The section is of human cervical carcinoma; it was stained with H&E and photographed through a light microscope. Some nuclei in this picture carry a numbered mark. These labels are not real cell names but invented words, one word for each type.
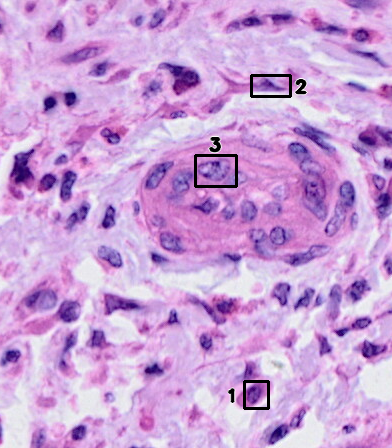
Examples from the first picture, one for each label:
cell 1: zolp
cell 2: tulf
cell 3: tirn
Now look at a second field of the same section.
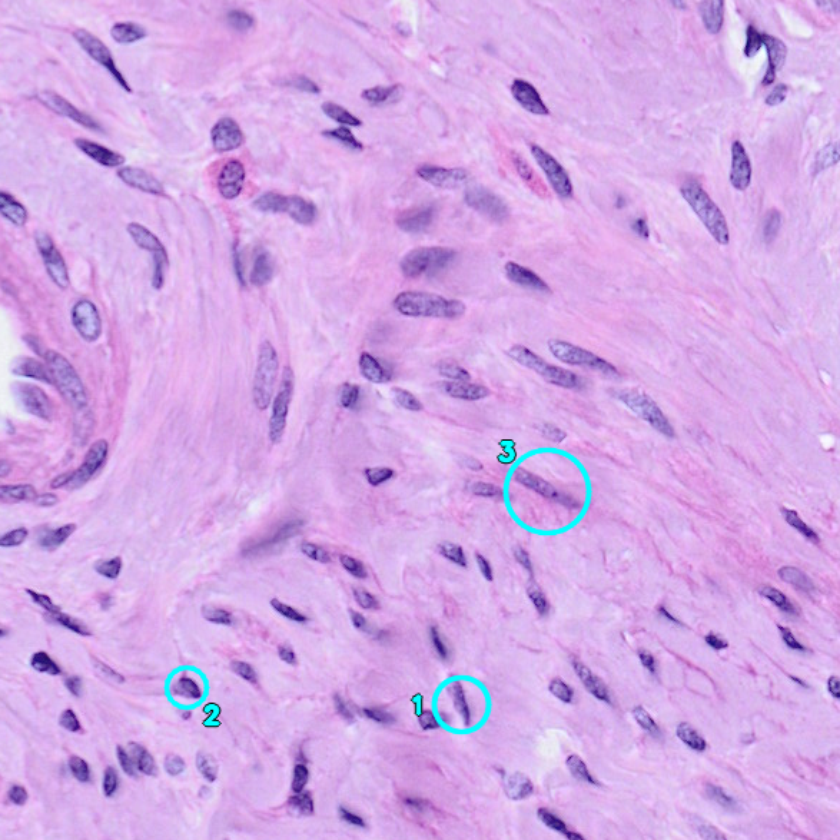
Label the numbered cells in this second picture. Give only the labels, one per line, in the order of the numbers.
tulf
tulf
tirn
